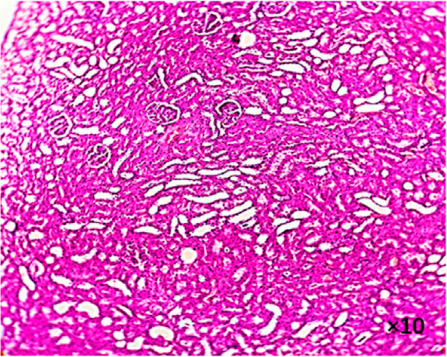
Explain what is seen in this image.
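Kidney tissue with scattered round glomeruli, each a compact tuft surrounded by a thin clear space. Around them lie many tubules cut in different planes, with pink walls and open white lumens. The tubules are closely packed and fill most of the field. No dense clusters of infiltrating cells are seen between the tubules.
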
